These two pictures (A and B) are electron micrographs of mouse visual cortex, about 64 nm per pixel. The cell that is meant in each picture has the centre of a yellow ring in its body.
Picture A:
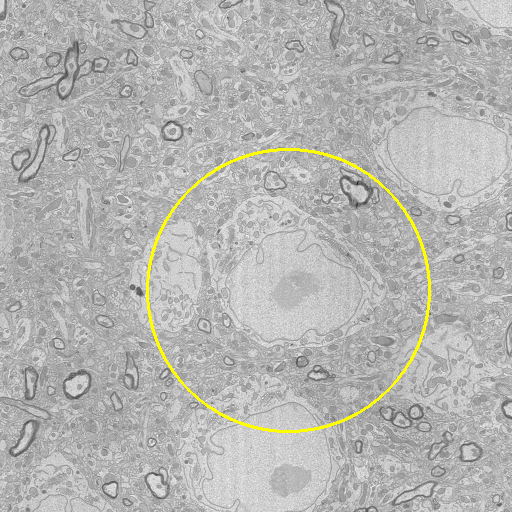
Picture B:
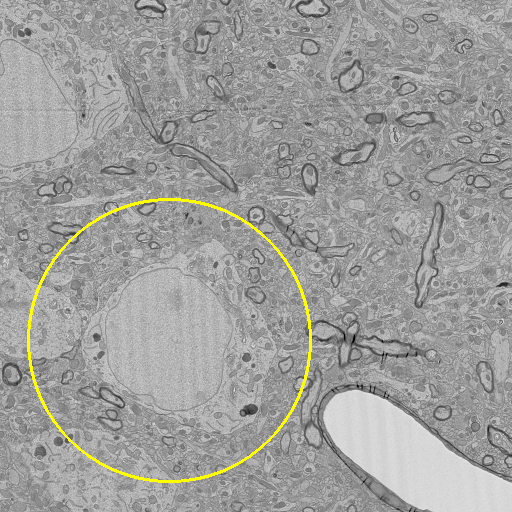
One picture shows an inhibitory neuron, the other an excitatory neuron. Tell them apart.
Picture B shows an excitatory neuron, while picture A shows an inhibitory neuron.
